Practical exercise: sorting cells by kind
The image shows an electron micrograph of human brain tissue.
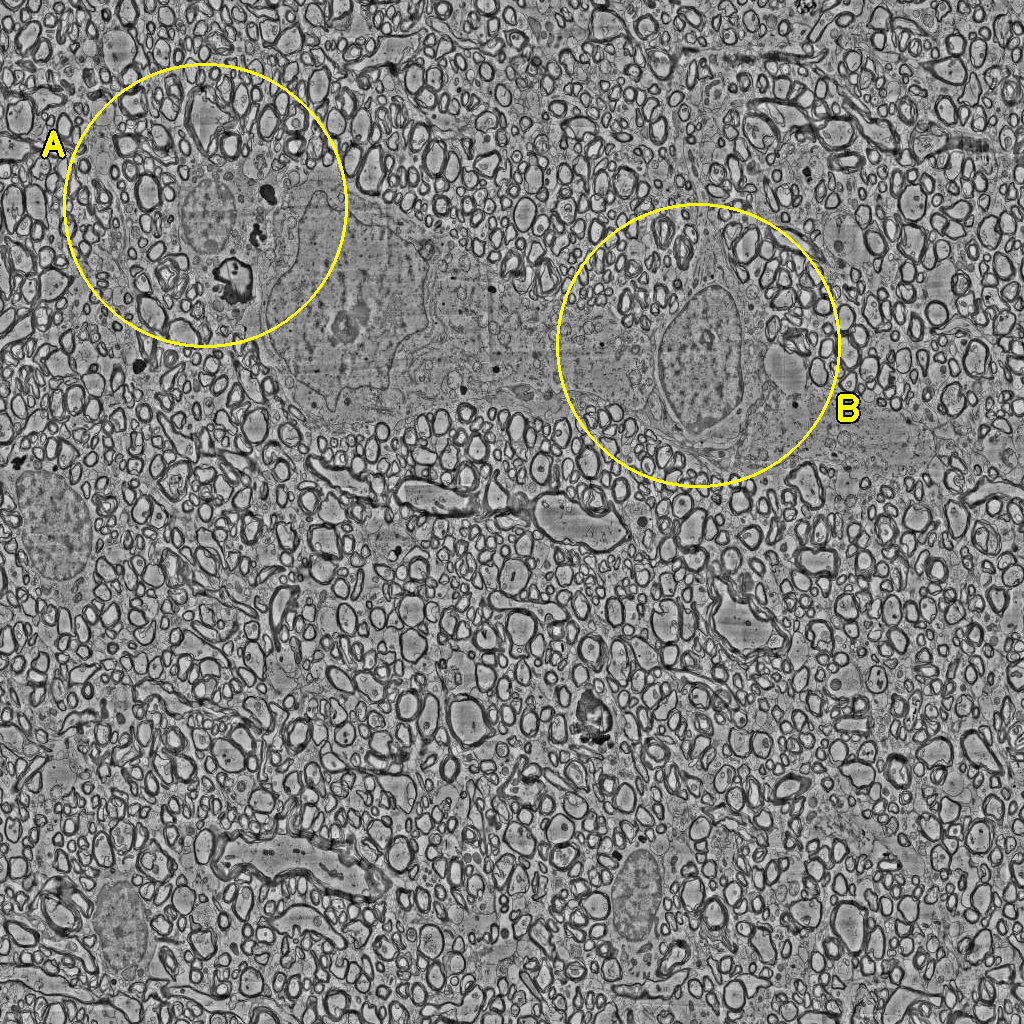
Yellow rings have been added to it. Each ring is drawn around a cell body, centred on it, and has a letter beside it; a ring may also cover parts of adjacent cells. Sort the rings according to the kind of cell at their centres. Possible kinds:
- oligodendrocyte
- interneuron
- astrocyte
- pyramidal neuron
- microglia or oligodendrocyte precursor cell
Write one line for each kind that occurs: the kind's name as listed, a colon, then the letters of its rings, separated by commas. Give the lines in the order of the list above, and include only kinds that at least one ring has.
oligodendrocyte: A
microglia or oligodendrocyte precursor cell: B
